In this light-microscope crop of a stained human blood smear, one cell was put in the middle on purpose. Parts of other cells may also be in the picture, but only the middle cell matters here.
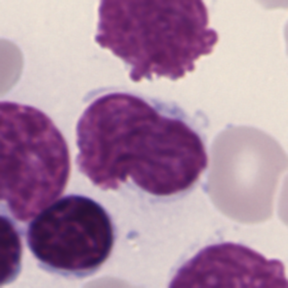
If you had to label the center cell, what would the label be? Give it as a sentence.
The crop shows a blast in its centre.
